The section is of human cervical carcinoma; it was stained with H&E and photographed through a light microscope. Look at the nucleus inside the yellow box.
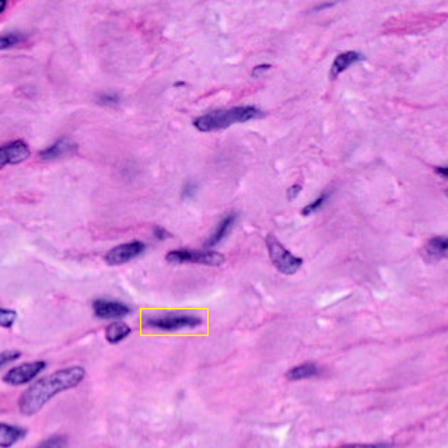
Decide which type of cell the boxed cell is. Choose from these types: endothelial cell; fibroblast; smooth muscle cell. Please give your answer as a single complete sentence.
The identity of the boxed cell is that of a fibroblast.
